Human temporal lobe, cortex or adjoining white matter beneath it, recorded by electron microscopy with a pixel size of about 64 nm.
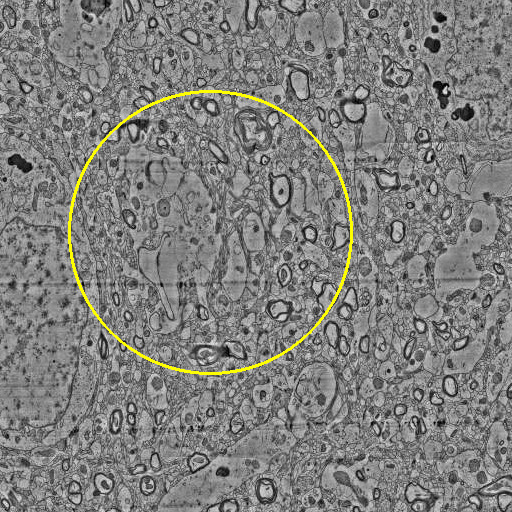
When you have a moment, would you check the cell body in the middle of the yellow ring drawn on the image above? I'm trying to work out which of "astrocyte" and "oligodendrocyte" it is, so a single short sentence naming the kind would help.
This cell body belongs to an astrocyte.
